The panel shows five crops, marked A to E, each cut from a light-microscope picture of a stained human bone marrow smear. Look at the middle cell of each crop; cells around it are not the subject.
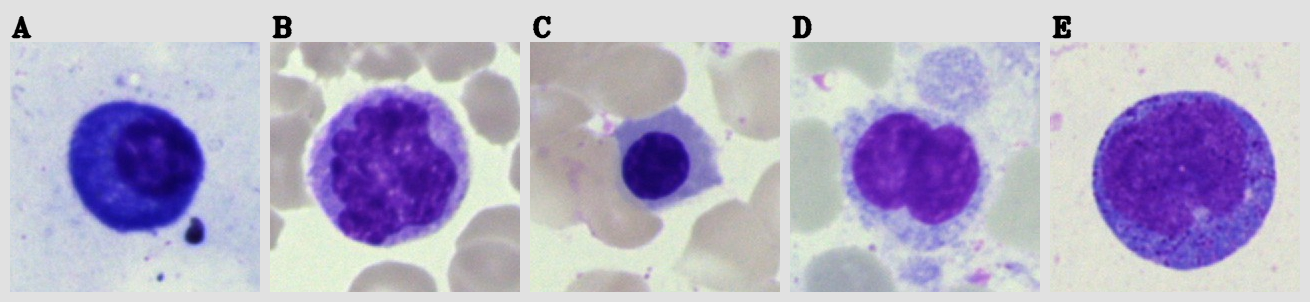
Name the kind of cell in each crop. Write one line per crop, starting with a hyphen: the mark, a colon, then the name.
- A: plasma cell
- B: monocyte
- C: erythroblast
- D: hairy cell
- E: promyelocyte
